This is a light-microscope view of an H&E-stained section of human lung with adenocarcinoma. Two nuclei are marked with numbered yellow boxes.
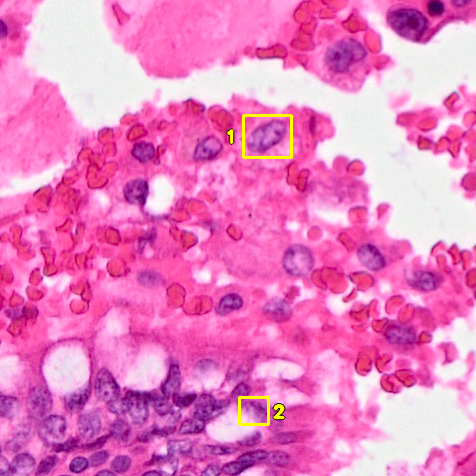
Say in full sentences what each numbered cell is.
Cell 1 is a macrophage or monocyte and cell 2 is a ciliated epithelial cell.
